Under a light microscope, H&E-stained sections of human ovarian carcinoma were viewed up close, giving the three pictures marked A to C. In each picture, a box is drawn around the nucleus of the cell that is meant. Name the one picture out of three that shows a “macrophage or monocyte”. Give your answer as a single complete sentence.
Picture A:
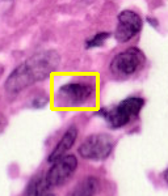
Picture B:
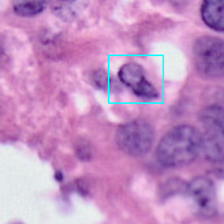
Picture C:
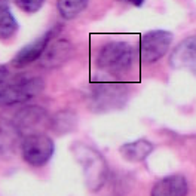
The cell in picture B is the “macrophage or monocyte”.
